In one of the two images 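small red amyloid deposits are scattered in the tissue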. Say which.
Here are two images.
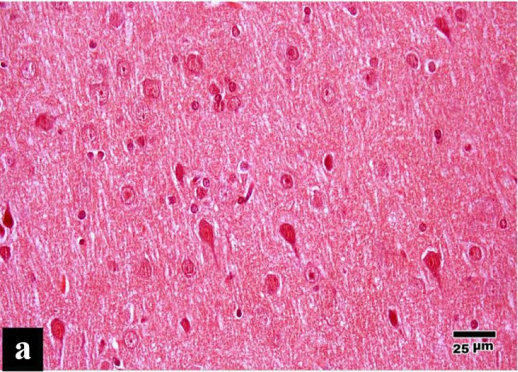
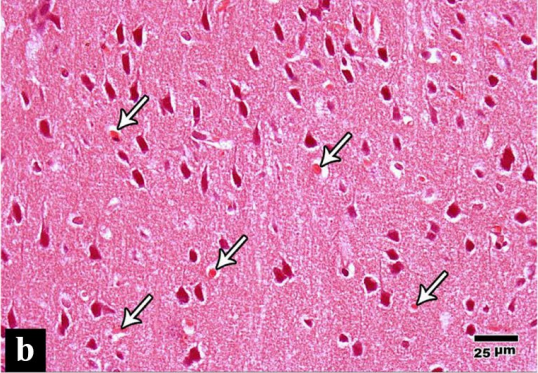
The second image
